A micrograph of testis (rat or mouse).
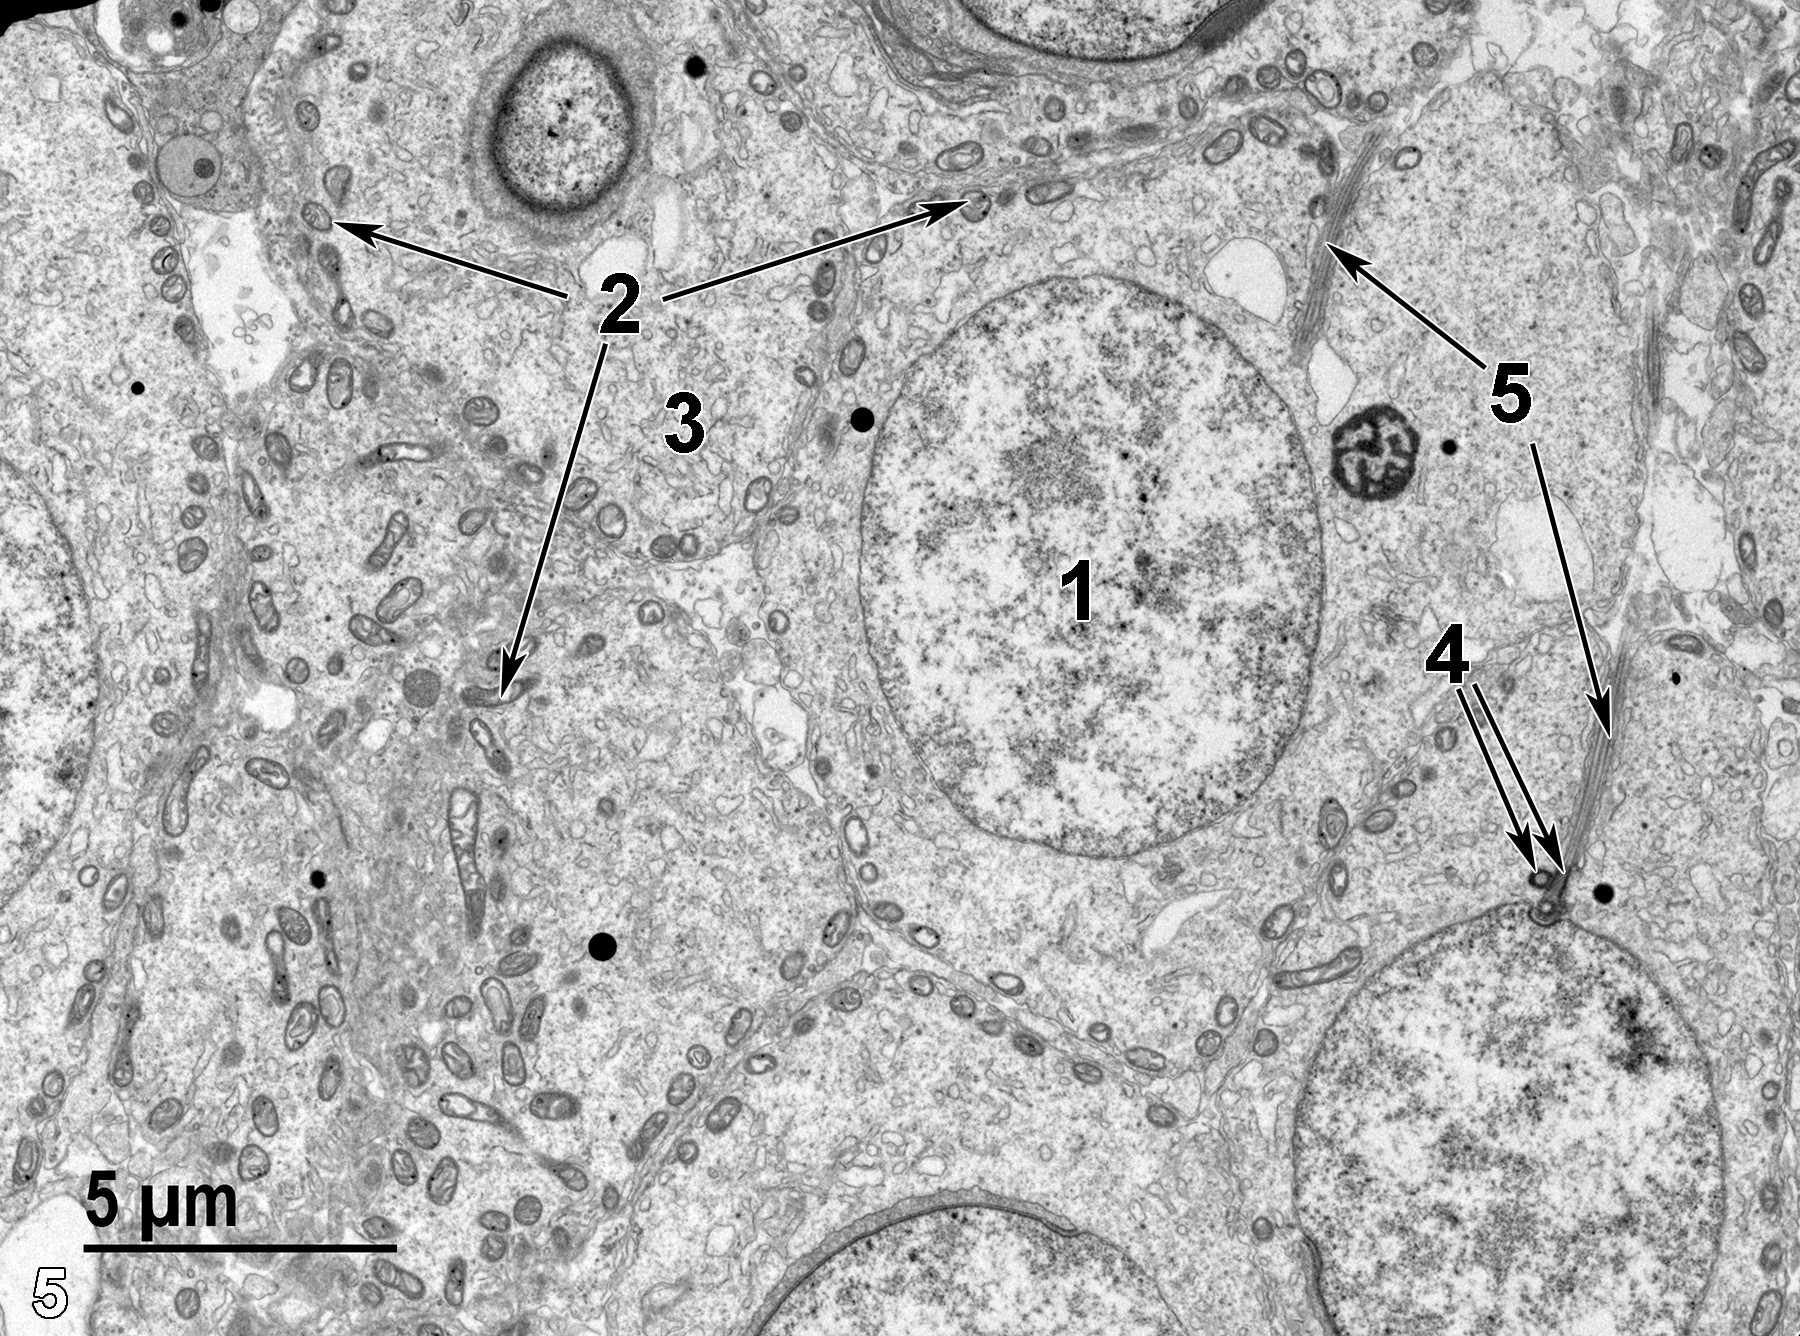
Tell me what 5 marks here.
5 marks the axonemes.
